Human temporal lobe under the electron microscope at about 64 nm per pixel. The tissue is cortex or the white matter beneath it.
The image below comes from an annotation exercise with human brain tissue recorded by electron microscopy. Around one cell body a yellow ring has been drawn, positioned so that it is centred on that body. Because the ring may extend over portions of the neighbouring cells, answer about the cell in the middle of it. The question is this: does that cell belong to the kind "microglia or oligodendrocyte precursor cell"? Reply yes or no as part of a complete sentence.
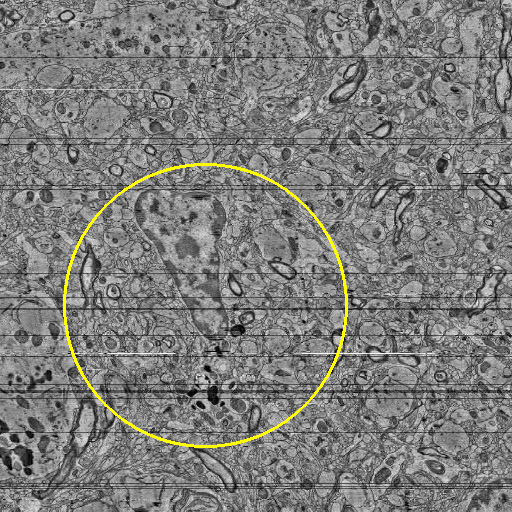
Yes, in the image the cell in the middle of the ring is of the kind asked about.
